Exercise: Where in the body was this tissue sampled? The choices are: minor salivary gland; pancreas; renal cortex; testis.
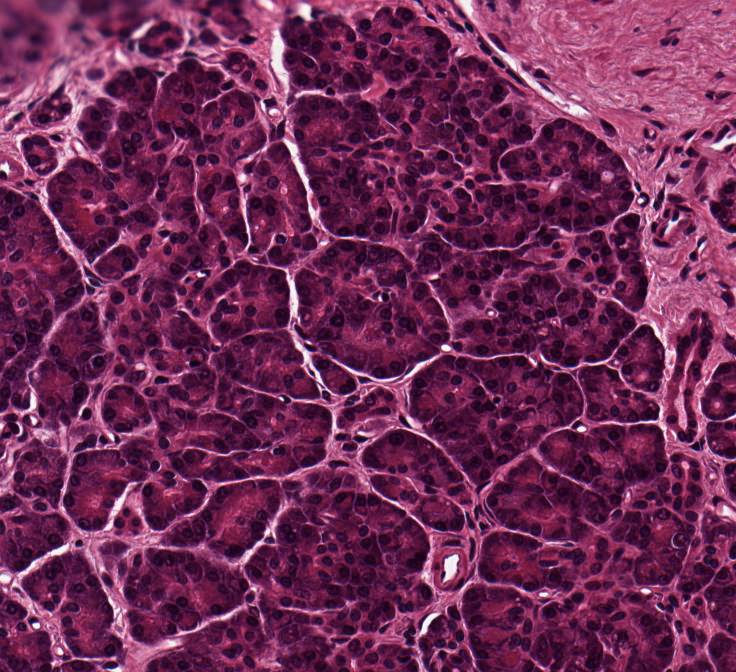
pancreas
